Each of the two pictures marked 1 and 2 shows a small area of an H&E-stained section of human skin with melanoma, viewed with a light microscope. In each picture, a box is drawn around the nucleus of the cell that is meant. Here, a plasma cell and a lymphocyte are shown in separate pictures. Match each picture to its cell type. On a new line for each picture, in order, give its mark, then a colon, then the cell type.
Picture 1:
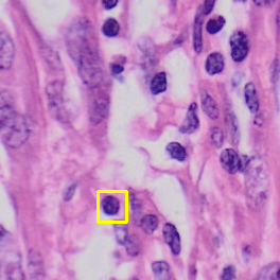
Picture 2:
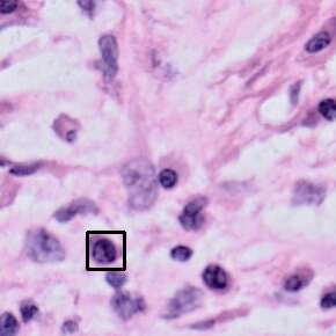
1: lymphocyte
2: plasma cell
